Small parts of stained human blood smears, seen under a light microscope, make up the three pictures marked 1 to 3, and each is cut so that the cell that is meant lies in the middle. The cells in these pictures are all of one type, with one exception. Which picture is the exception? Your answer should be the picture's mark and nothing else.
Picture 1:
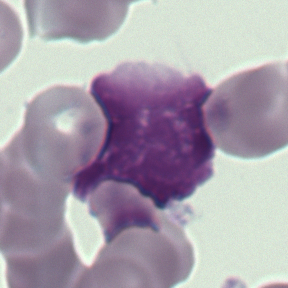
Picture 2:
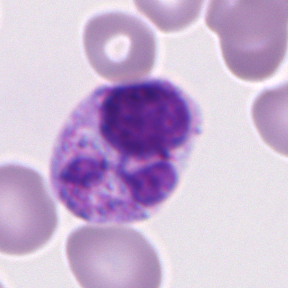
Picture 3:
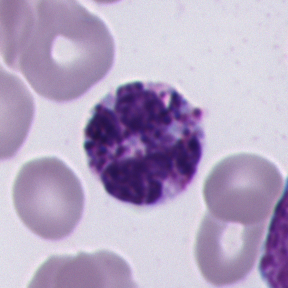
1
